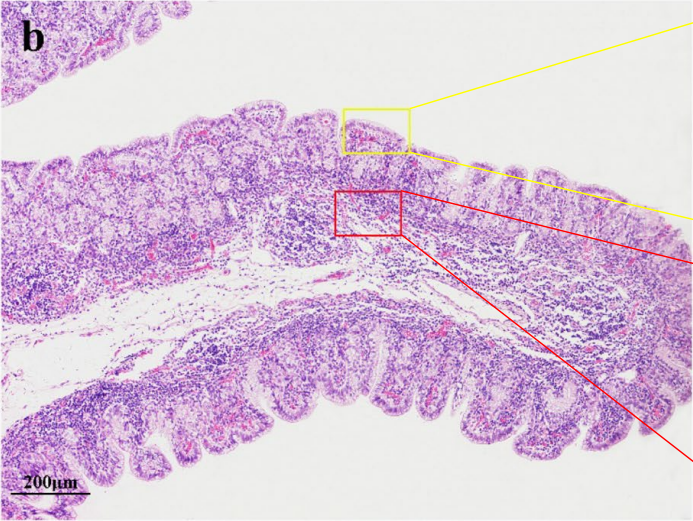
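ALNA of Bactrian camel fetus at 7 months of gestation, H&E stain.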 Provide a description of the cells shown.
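The mucosal surface forms short, regular folds covered by a single layer of pale columnar epithelium, and the folds are packed with gland-like profiles. Beneath the folds, small round cells with dark-purple nuclei crowd together in broad, dense bands. A pale, loosely woven band of pink connective tissue runs through the middle of the field, separating two layers of mucosa that face each other. Small red-stained blood vessels are scattered through the tissue. The lymphocytes are spread diffusely and do not form rounded, sharply bounded nodules.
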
